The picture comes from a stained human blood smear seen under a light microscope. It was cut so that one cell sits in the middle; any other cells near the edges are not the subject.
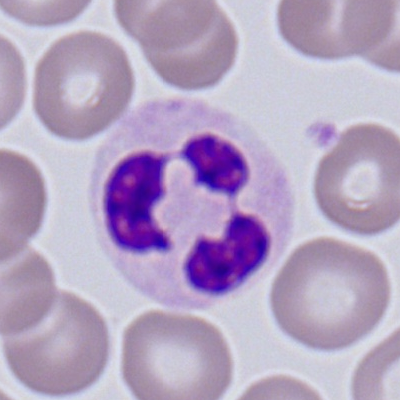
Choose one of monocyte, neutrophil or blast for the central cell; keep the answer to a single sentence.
Here the cell in the middle is a neutrophil.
